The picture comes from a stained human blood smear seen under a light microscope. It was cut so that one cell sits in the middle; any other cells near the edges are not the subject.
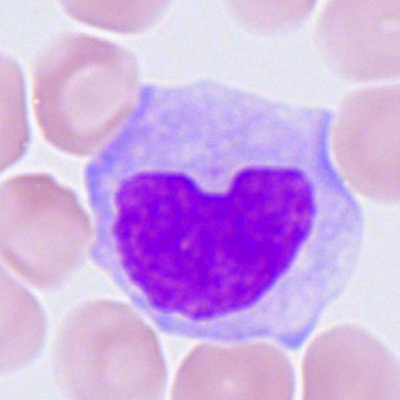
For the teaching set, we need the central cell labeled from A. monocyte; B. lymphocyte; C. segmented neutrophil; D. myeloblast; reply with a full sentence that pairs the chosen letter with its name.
Option A is to be chosen, as the central cell is a monocyte.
